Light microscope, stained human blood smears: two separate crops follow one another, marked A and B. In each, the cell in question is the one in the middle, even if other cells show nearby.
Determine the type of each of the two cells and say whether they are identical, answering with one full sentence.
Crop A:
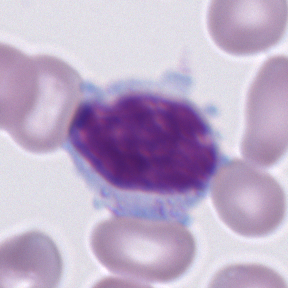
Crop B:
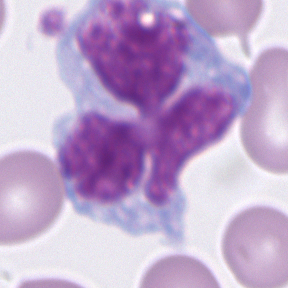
No, crop A shows a large granular lymphocyte and crop B shows a monocyte.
